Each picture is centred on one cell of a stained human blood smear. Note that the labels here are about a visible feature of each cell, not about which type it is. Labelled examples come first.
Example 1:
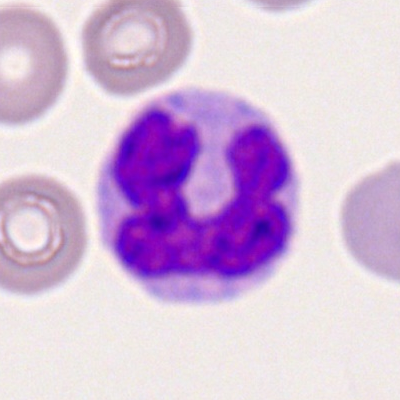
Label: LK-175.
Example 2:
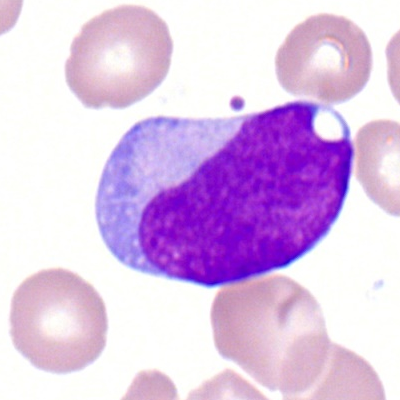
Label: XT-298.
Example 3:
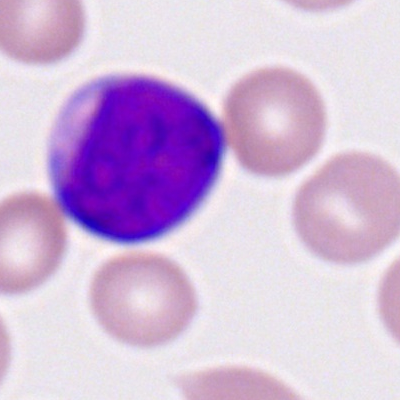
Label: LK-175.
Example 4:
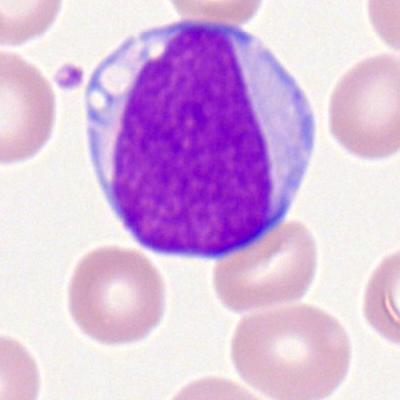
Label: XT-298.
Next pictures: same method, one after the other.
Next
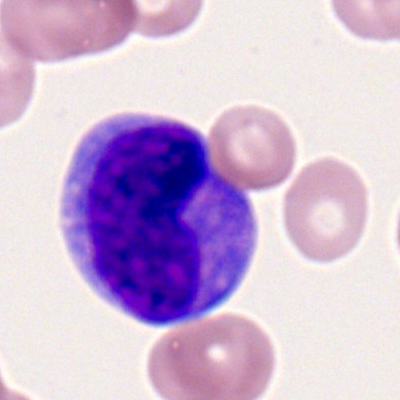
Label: LK-175.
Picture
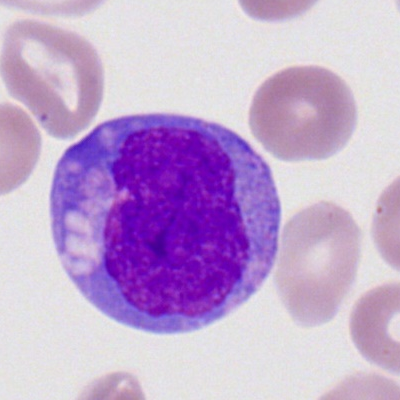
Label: XT-298.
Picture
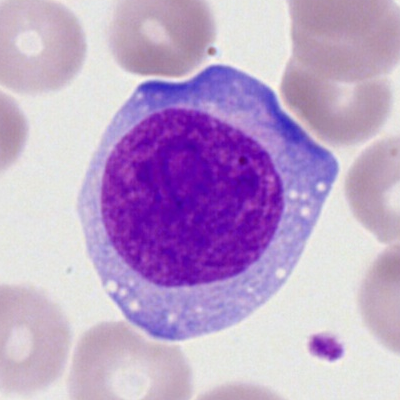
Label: XT-298.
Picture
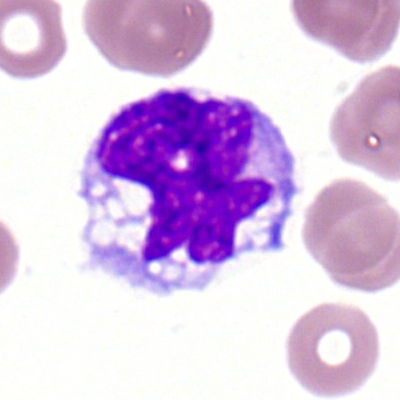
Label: XT-298.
